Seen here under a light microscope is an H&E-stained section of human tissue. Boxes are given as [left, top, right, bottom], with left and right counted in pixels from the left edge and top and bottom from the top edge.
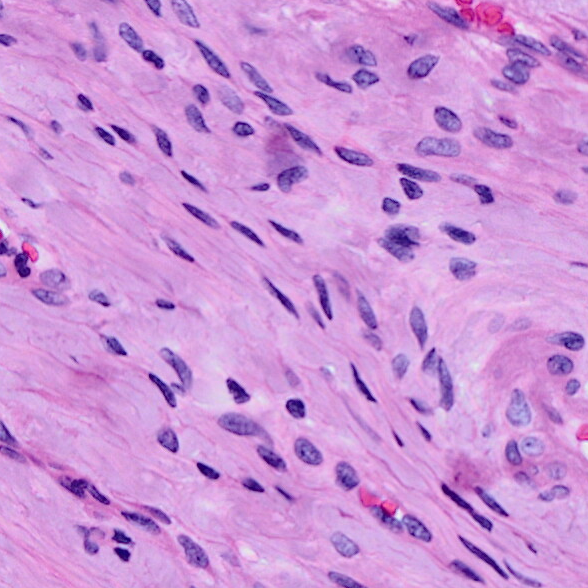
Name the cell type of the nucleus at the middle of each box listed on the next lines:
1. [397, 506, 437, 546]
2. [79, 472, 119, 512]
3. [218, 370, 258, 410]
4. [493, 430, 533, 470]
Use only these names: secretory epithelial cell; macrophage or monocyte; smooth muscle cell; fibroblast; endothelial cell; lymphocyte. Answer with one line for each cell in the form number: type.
1: endothelial cell
2: endothelial cell
3: lymphocyte
4: smooth muscle cell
